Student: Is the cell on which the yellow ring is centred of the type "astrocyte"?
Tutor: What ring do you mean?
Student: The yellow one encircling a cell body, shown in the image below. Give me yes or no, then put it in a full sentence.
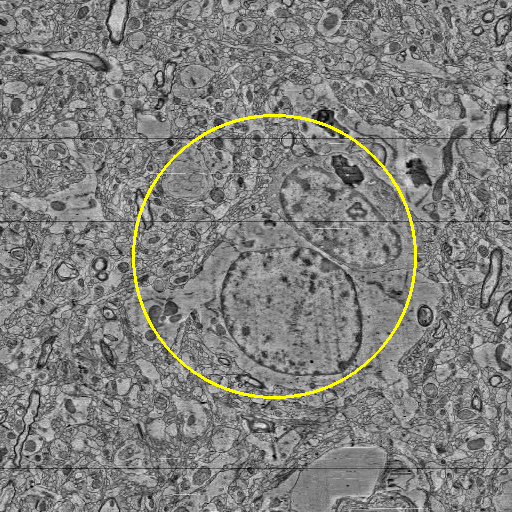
Yes, the cell on which the yellow ring in the image is centred has that type.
